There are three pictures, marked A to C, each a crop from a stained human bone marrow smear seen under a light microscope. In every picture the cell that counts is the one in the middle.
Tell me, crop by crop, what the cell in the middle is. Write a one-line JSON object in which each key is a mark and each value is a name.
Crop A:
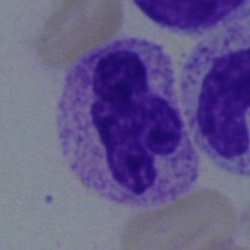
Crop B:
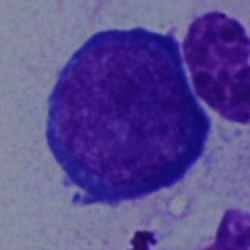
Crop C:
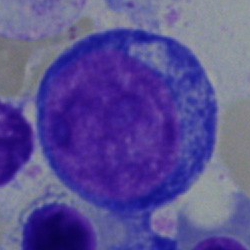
{"A": "band neutrophil", "B": "proerythroblast", "C": "proerythroblast"}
